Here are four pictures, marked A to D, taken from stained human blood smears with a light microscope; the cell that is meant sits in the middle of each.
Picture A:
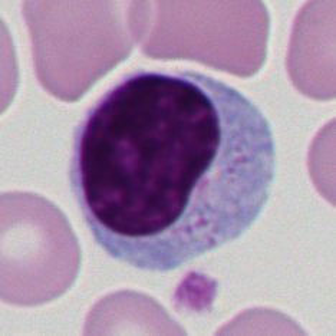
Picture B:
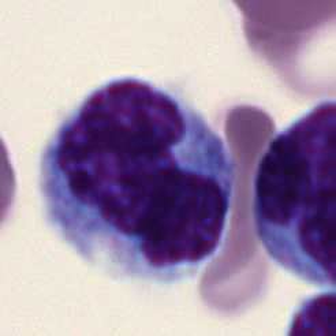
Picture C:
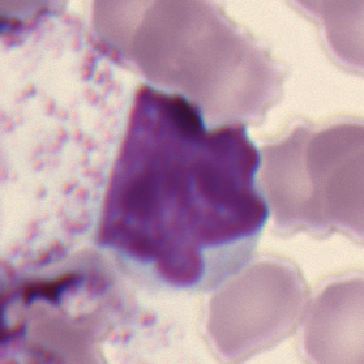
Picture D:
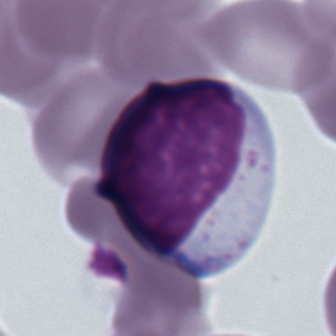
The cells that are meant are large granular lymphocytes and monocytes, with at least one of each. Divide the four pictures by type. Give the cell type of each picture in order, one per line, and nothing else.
large granular lymphocyte
monocyte
large granular lymphocyte
large granular lymphocyte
